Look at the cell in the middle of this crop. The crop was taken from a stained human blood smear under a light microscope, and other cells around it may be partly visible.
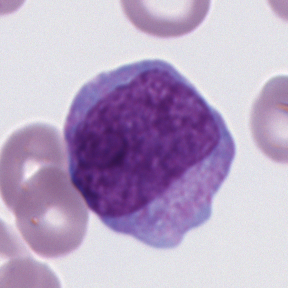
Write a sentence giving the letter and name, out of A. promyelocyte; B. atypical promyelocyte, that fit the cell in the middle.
The correct option, B, names the middle cell as an atypical promyelocyte.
